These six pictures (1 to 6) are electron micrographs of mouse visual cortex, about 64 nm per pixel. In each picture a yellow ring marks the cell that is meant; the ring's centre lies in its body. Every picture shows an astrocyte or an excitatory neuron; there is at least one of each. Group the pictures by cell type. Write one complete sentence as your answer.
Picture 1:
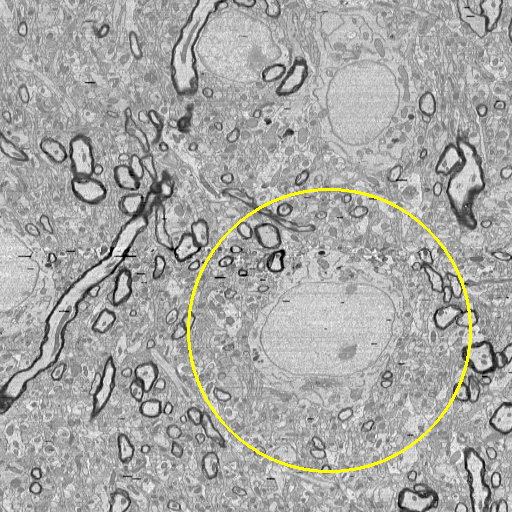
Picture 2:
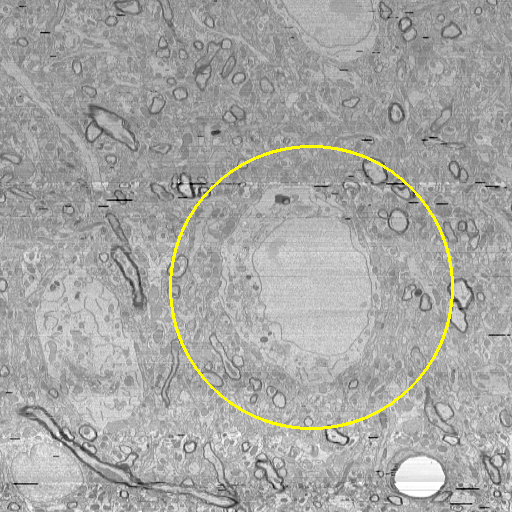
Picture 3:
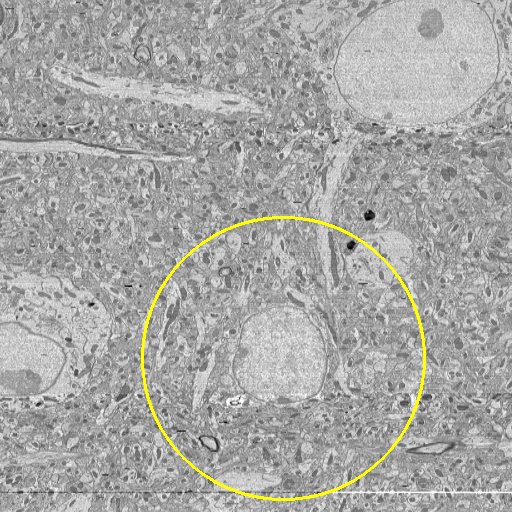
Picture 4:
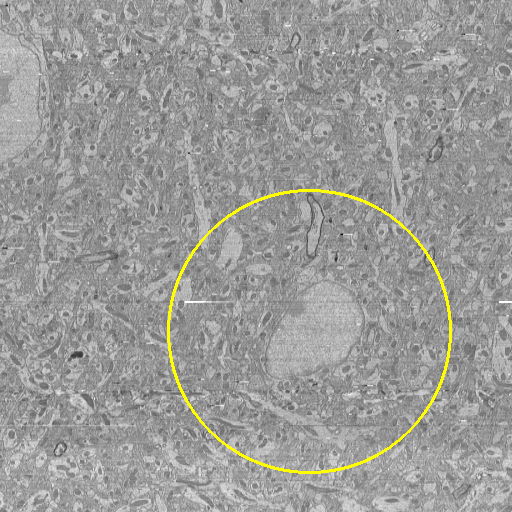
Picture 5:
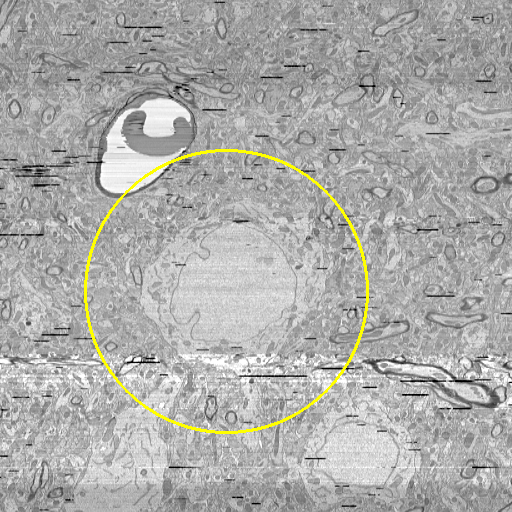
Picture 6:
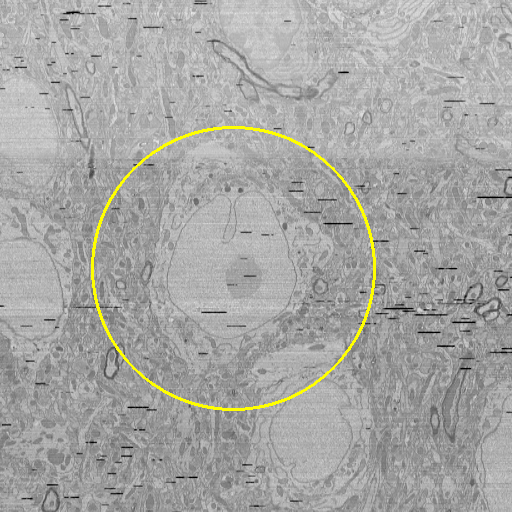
Pictures 3 and 4 show astrocytes; pictures 1, 2, 5 and 6 show excitatory neurons.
